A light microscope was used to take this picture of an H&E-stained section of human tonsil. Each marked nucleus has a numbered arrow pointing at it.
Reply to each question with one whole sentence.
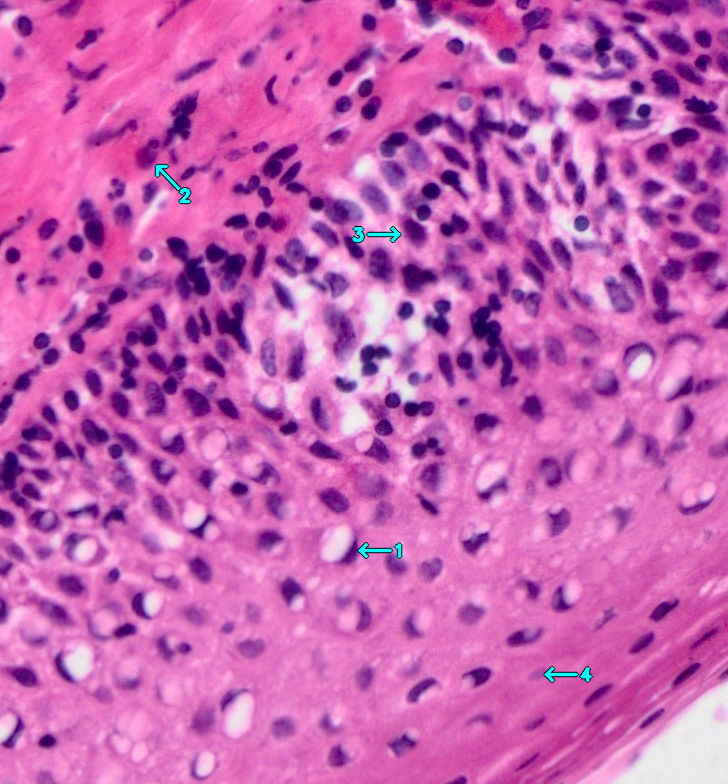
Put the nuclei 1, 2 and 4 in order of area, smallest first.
Smallest first, the nuclei run 4, 1, 2.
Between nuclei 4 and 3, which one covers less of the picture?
With nucleus 3 about 4 times its size, nucleus 4 is the smaller of the two.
